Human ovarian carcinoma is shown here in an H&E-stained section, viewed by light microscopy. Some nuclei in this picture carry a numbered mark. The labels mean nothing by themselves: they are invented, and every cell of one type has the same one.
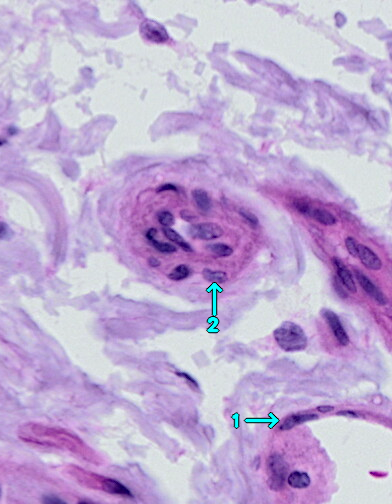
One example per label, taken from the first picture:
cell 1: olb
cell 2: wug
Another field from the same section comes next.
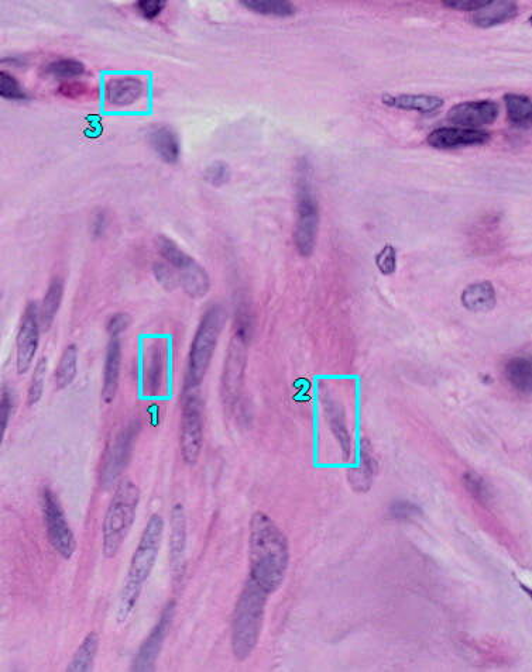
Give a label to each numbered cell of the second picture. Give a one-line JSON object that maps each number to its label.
{"1": "wug", "2": "wug", "3": "olb"}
